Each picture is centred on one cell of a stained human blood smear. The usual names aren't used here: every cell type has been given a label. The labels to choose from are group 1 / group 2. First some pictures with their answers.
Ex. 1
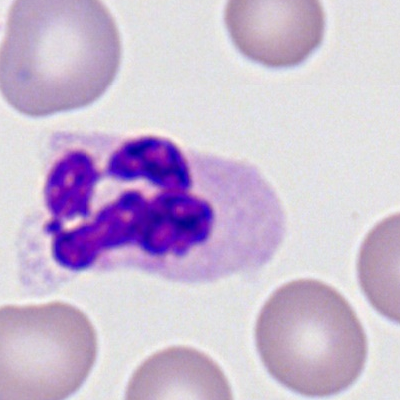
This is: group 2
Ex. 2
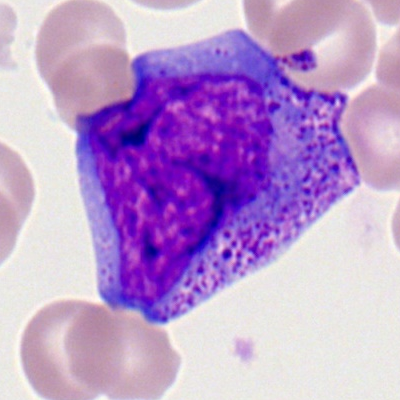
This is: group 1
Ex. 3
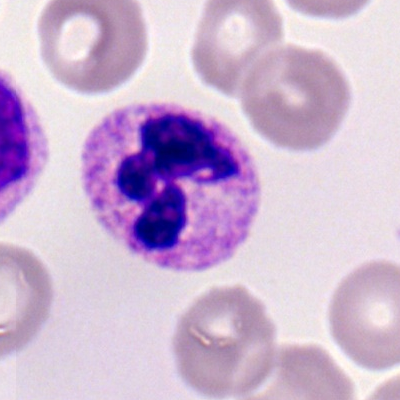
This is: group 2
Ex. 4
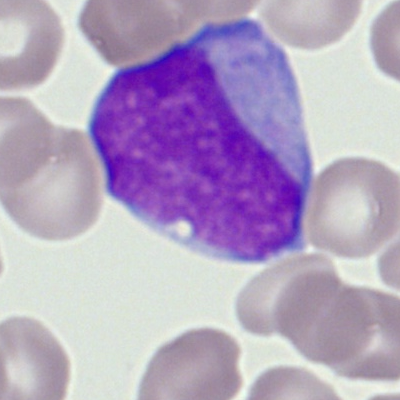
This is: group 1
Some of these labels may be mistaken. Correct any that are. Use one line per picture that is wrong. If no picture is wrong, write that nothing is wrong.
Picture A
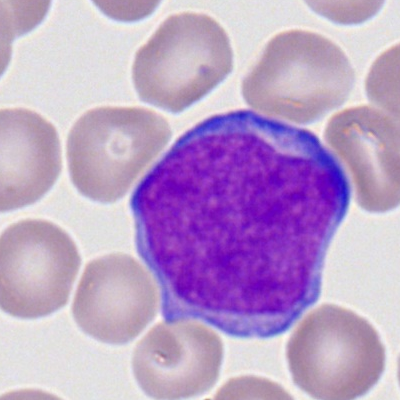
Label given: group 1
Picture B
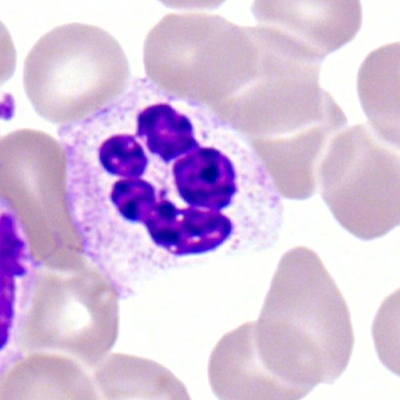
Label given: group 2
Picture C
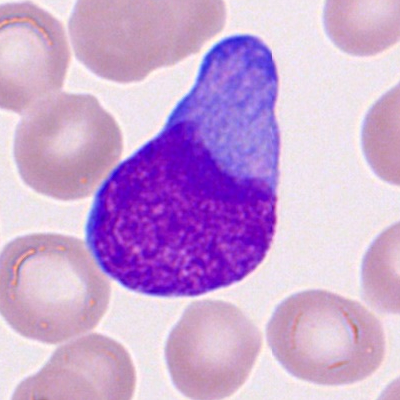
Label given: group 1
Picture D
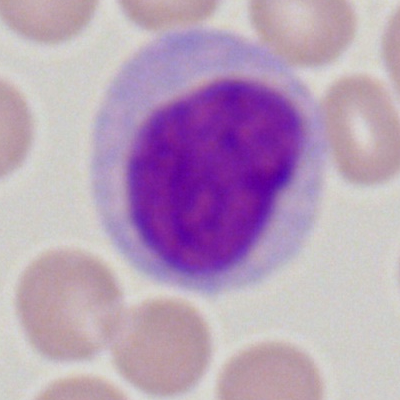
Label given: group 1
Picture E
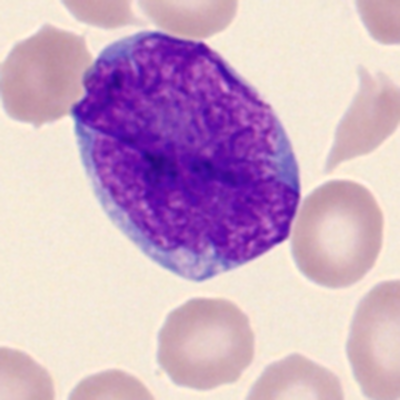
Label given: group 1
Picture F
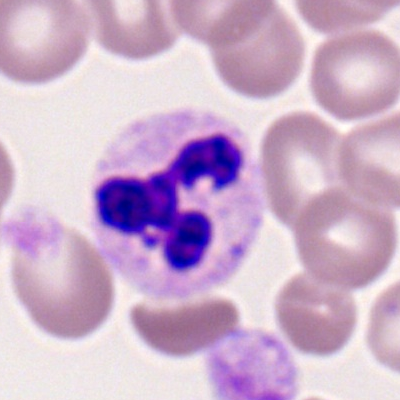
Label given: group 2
Every label is right.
